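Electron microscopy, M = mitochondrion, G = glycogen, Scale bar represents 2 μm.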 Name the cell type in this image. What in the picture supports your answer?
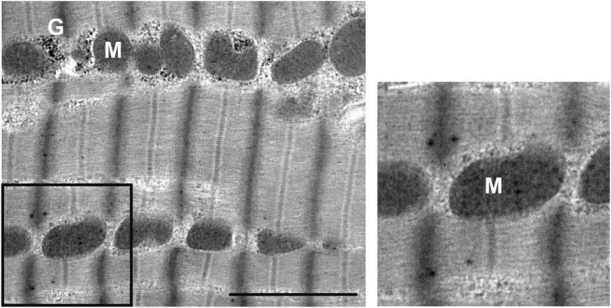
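Parallel myofibrils crossed by regular dark transverse bands. Rows of oval dense mitochondria lie between the myofibrils. The answer: cardiomyocyte.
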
